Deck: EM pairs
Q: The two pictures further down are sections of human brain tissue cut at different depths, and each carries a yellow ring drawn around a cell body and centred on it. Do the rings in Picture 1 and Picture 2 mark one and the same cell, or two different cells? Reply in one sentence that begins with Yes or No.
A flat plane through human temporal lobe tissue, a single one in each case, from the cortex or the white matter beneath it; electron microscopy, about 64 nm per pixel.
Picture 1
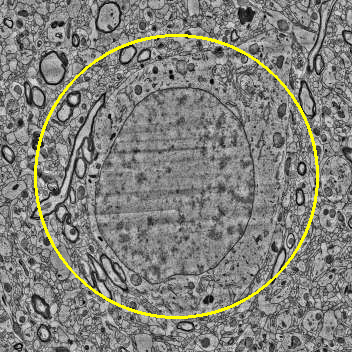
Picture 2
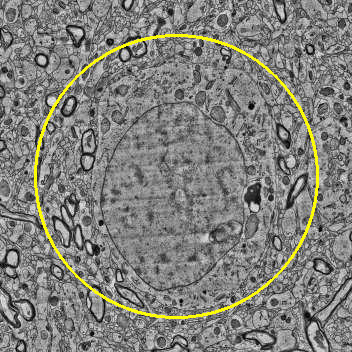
Yes, the two rings refer to one cell in the tissue.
